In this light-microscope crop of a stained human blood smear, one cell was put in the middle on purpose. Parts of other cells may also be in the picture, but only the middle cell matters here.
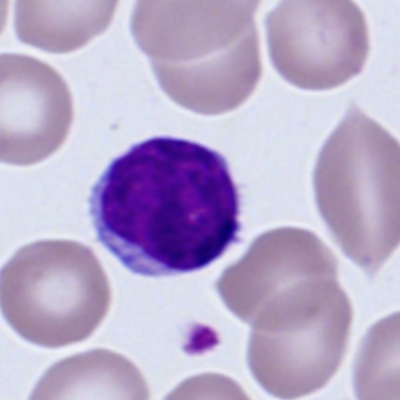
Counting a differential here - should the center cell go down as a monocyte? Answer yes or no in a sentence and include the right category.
No, the centred cell is a lymphocyte, and it is not a monocyte.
